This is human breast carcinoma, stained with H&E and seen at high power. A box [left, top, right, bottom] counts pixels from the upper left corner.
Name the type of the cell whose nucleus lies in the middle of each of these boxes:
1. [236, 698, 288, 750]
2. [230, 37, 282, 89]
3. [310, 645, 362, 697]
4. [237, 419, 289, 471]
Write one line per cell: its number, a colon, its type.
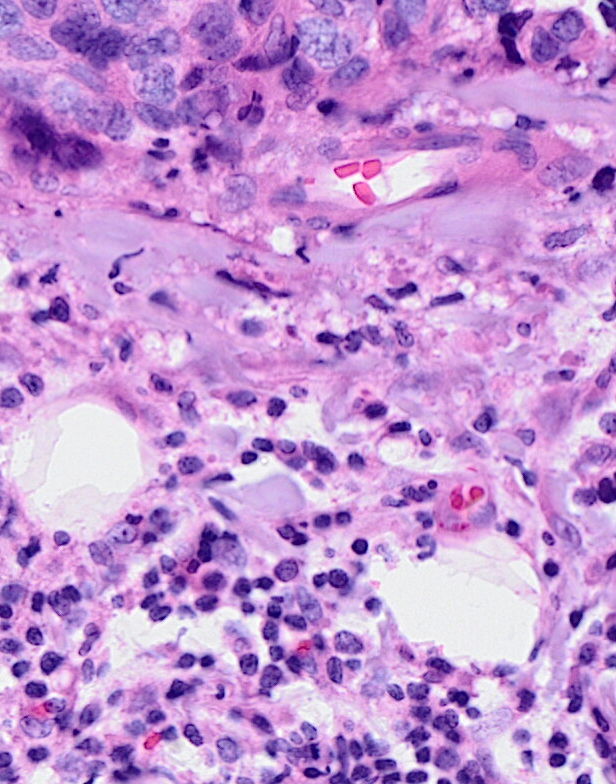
1: lymphocyte
2: carcinoma cell
3: lymphocyte
4: lymphocyte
